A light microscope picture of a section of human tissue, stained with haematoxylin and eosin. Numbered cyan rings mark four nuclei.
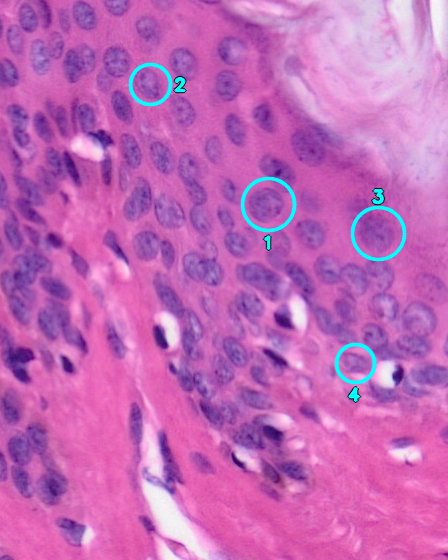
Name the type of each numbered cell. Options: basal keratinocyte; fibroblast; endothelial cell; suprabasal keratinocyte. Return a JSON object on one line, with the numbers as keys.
{"1": "suprabasal keratinocyte", "2": "suprabasal keratinocyte", "3": "suprabasal keratinocyte", "4": "basal keratinocyte"}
